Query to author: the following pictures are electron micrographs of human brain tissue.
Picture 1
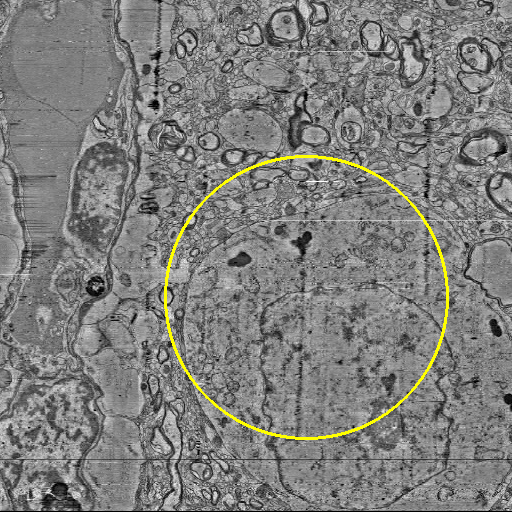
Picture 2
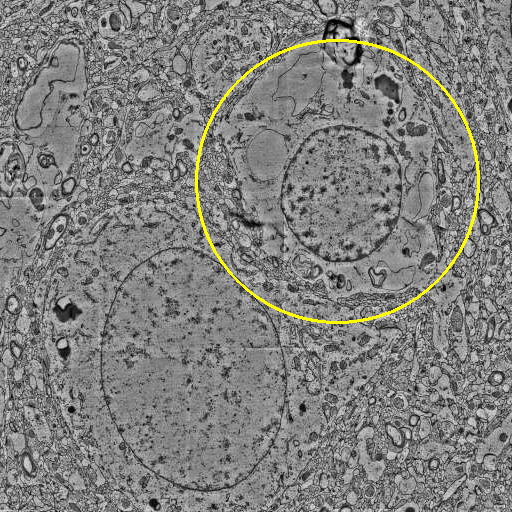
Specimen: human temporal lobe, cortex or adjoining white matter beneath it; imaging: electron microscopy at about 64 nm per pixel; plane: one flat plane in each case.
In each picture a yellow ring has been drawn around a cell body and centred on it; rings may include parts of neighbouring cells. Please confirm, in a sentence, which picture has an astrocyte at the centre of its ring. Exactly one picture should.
Picture 2 has it at the centre of its ring.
